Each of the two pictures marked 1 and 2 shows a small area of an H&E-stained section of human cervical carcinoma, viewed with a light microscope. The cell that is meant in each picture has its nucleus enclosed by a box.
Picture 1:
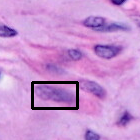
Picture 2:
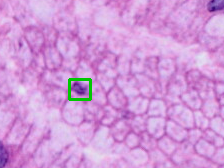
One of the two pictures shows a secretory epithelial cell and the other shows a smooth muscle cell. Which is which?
1: smooth muscle cell
2: secretory epithelial cell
